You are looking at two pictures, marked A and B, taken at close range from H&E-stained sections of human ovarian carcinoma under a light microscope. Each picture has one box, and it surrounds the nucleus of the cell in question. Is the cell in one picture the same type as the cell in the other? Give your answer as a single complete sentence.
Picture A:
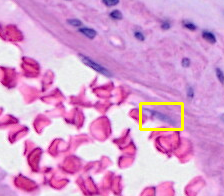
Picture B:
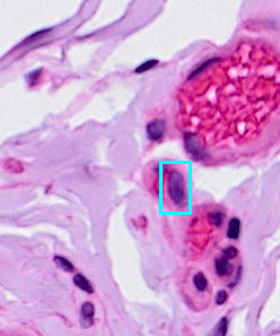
Yes, they are the same type: both are endothelial cells.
